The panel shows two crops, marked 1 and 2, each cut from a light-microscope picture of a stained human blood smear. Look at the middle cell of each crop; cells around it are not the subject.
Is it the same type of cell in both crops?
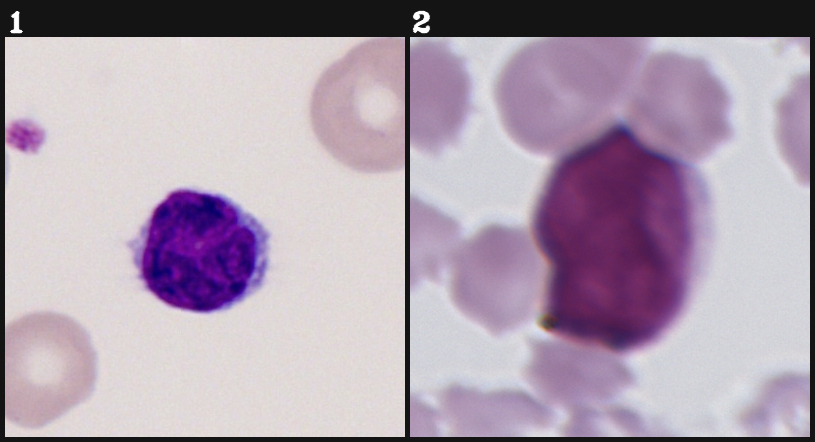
no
